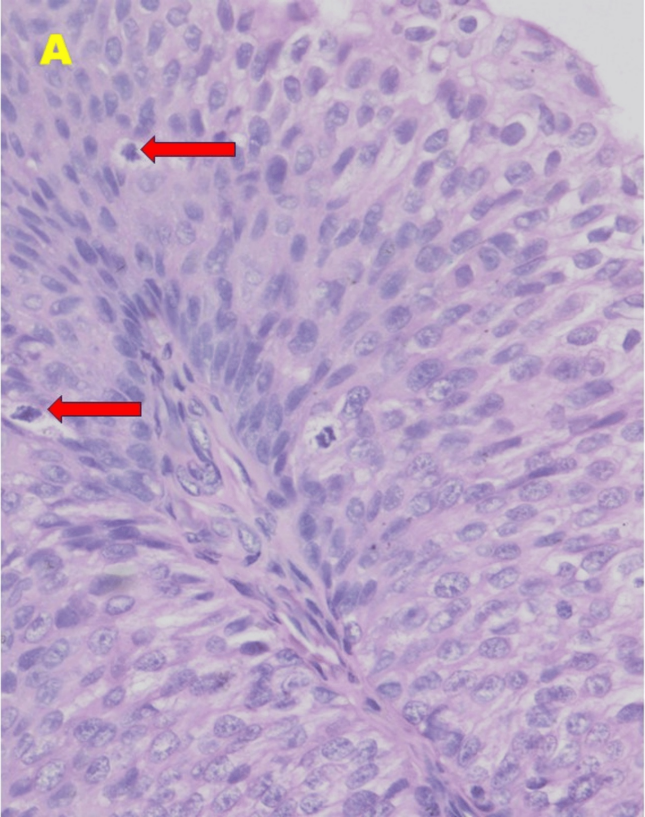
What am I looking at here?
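This is a thick layer of crowded urothelial tumour cells covering a thin fibrovascular core that runs diagonally through the field. The cells have oval to elongated nuclei with fine, purple chromatin and small nucleoli, set in pale pink cytoplasm. Near the central core the nuclei are more elongated and lined up, while toward the surface the cells become rounder. Scattered among them are a few cells in which the chromatin is condensed into dark clumps surrounded by a clear halo, which are mitotic figures. The overall arrangement stays fairly orderly, with nuclei of broadly similar size.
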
